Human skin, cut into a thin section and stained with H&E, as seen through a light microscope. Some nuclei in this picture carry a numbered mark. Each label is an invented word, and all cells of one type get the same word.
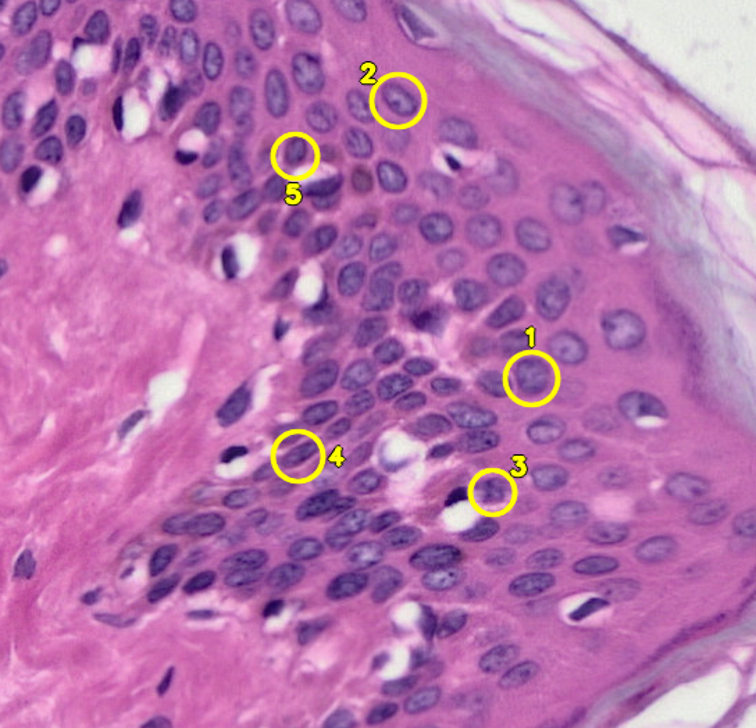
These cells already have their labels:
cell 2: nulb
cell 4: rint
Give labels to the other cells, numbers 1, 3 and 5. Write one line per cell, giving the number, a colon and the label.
1: nulb
3: rint
5: rint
